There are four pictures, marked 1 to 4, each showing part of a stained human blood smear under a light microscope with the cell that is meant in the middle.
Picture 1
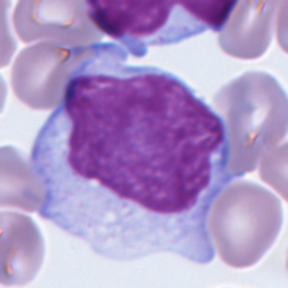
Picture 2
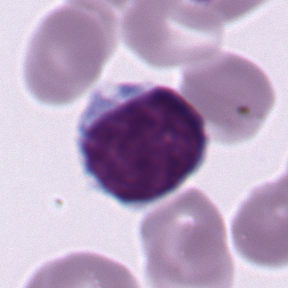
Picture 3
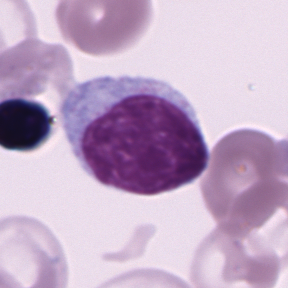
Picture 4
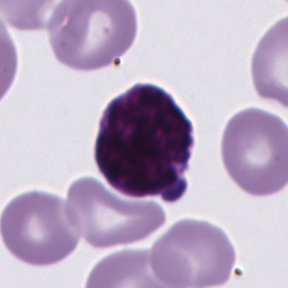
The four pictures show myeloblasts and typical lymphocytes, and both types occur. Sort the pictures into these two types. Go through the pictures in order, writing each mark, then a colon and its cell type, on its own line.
1: myeloblast
2: typical lymphocyte
3: typical lymphocyte
4: myeloblast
